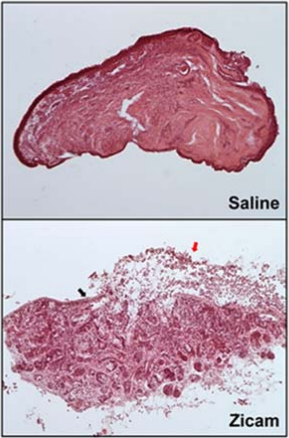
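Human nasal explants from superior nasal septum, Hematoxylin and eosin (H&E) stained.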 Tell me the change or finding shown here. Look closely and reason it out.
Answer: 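Severe necrosis. The upper piece has a continuous, darkly stained surface layer along its edge. In the lower piece the surface layer is broken and breaks up into loose, scattered fragments. The lower piece is ragged and falling apart, not compact like the upper piece.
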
